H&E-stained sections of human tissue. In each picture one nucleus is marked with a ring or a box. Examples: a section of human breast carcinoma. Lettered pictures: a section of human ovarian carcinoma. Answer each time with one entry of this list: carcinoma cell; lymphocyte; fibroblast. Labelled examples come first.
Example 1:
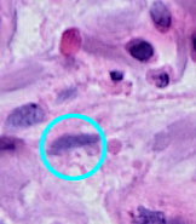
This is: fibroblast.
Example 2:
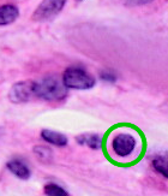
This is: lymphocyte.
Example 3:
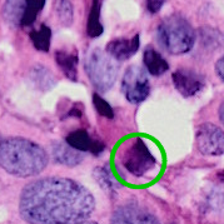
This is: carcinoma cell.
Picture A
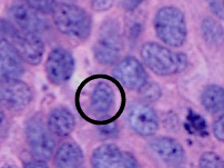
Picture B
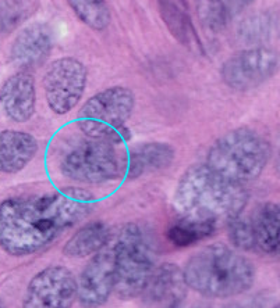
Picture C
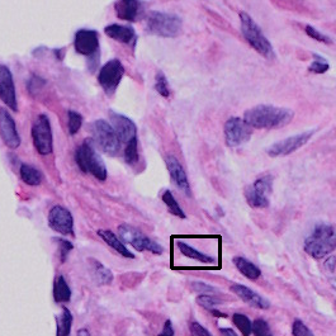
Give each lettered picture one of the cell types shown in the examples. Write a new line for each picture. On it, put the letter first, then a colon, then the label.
A: carcinoma cell.
B: carcinoma cell.
C: fibroblast.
